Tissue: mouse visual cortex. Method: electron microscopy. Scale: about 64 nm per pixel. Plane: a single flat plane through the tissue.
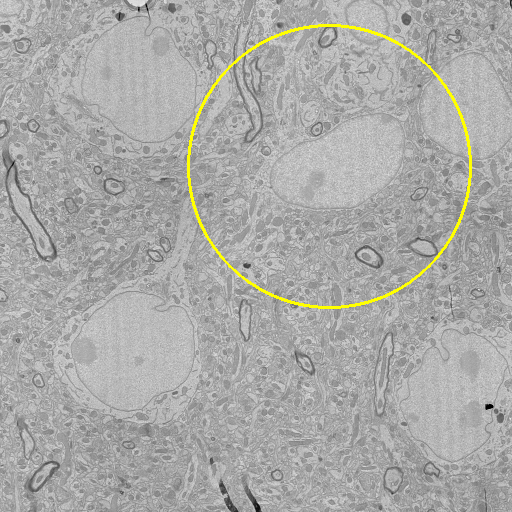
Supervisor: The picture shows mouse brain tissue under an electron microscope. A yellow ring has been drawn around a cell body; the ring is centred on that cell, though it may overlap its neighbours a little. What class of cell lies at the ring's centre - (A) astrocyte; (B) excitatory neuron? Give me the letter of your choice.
A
